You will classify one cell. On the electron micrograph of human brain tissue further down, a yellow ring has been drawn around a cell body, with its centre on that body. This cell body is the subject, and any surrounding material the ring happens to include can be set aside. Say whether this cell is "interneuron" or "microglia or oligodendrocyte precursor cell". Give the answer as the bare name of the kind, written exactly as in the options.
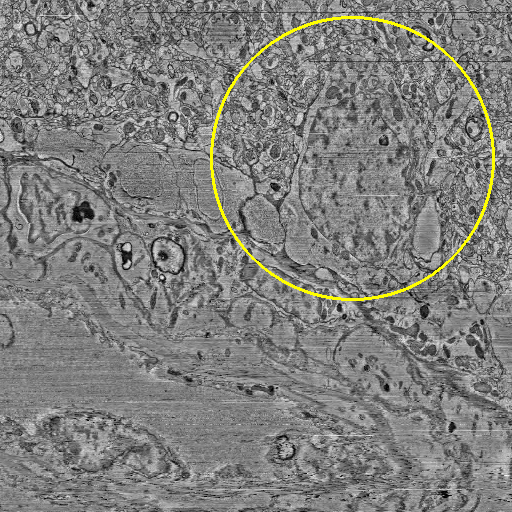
interneuron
